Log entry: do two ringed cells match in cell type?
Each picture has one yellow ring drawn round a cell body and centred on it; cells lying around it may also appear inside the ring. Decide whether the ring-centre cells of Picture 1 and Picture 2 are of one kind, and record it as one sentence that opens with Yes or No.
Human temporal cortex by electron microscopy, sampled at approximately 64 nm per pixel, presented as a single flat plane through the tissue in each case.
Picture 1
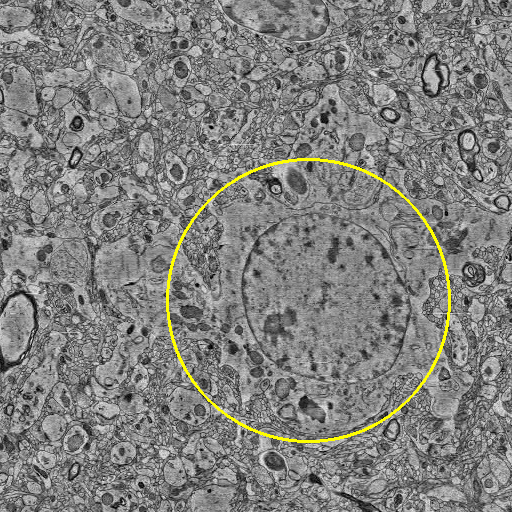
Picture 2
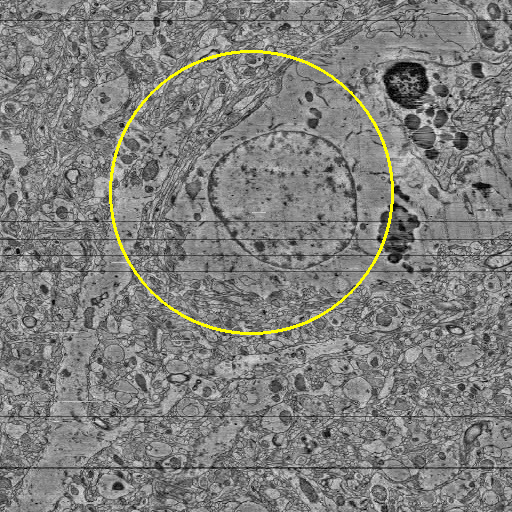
Yes, the cells at the ring centres of the two pictures belong to one kind.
